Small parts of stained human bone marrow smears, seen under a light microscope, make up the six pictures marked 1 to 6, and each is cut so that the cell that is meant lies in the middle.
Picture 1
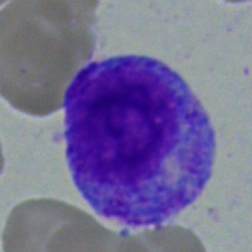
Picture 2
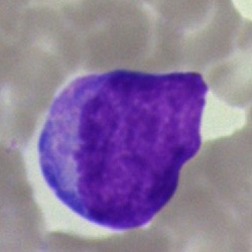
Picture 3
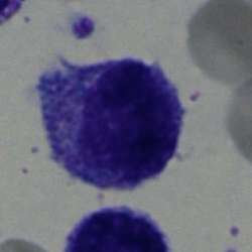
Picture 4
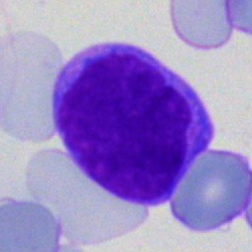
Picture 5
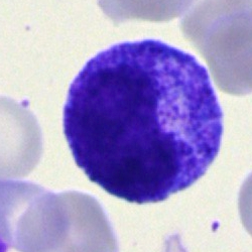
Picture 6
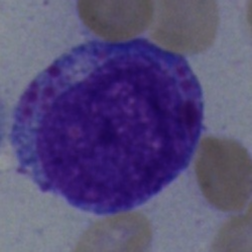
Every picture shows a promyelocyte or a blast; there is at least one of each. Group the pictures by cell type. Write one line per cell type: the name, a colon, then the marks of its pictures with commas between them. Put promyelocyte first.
promyelocyte: 1, 3, 5, 6
blast: 2, 4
